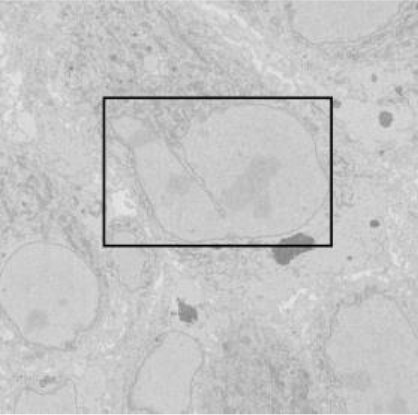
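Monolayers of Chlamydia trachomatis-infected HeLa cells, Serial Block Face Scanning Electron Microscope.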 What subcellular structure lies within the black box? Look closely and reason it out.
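The box encloses a large pale oval body with darker irregular patches inside. The body is bounded by a thin line. On this evidence: nucleus.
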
